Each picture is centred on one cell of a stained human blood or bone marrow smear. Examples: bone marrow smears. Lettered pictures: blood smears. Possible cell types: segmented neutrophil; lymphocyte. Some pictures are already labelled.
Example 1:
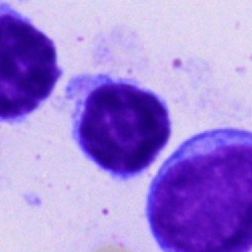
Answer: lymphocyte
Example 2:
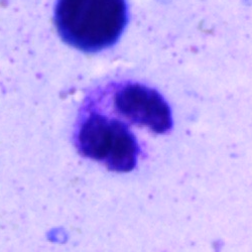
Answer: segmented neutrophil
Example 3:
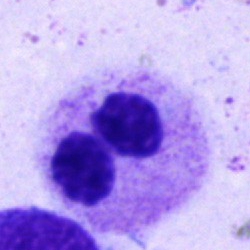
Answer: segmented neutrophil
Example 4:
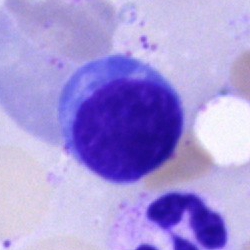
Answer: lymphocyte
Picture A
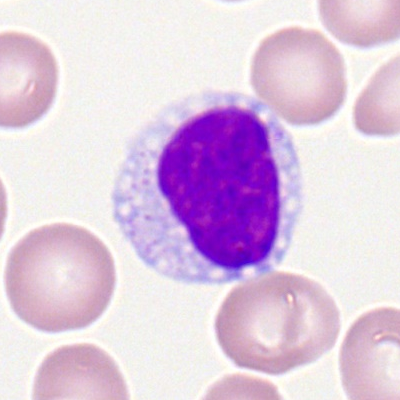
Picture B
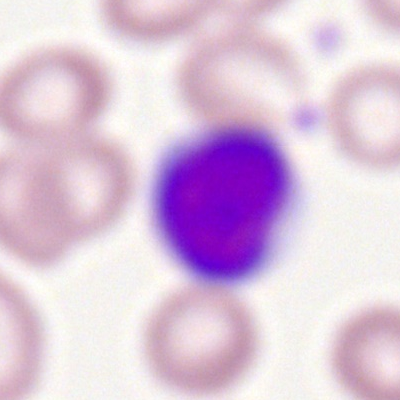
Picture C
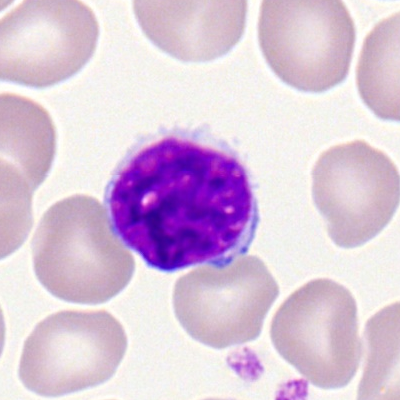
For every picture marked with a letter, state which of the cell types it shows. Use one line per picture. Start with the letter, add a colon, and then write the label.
A: lymphocyte
B: lymphocyte
C: lymphocyte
